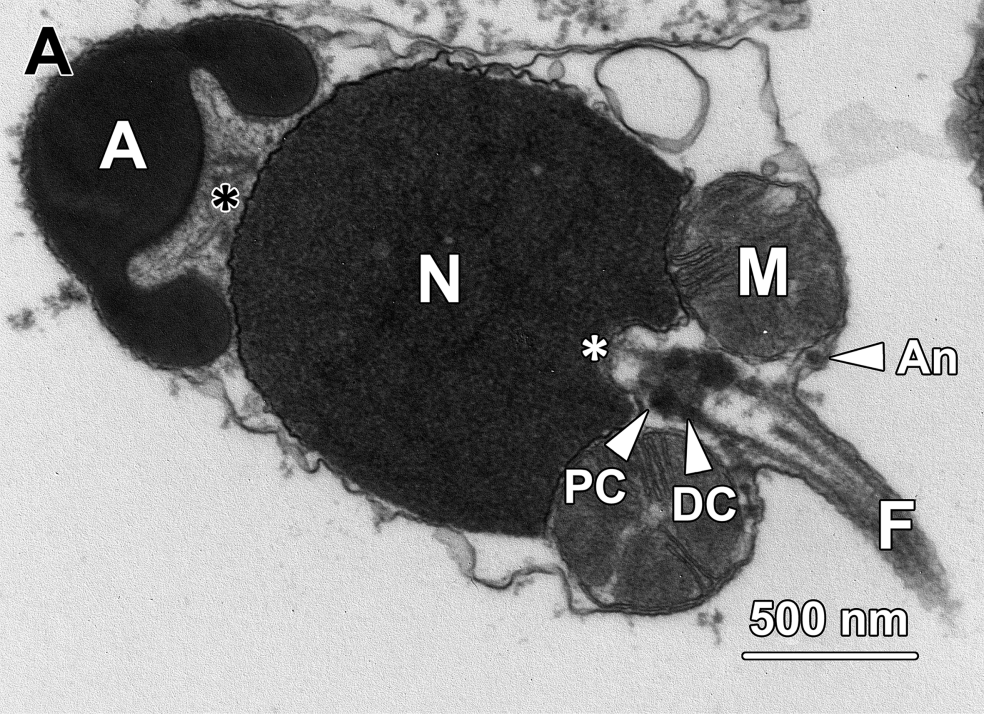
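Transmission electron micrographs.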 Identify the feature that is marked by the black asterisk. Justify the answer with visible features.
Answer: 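Subacrosomal space. Pale fibrillary region lies between the dark cap-shaped structure and the dark nucleus. The dark cap curves around this pale region.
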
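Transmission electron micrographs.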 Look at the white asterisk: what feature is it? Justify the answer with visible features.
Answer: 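Implantation fossa. A pale indentation lies in the posterior end of the dense nucleus. Small dense bodies at the base of the flagellum sit in this indentation.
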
